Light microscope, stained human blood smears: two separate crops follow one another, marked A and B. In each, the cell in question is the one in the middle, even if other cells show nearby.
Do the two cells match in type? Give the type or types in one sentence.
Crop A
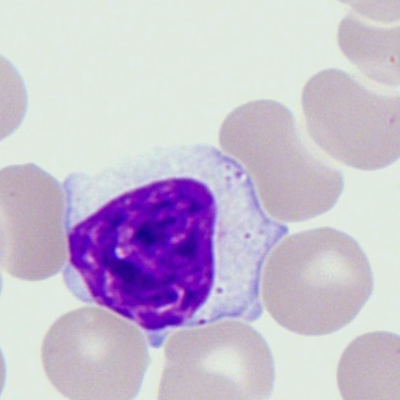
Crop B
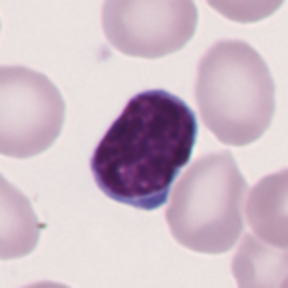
Yes, the centred cells are lymphocytes in both crops.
